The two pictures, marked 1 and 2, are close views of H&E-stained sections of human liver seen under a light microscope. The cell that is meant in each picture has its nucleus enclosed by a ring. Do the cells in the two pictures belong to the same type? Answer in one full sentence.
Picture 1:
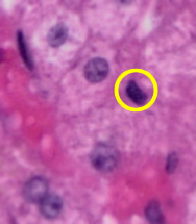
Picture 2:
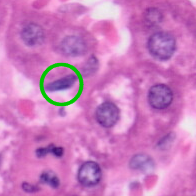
Yes, the two pictures both show “fibroblasts or stellate cells”.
